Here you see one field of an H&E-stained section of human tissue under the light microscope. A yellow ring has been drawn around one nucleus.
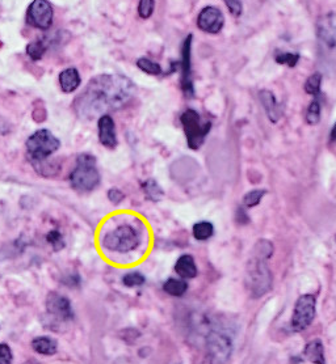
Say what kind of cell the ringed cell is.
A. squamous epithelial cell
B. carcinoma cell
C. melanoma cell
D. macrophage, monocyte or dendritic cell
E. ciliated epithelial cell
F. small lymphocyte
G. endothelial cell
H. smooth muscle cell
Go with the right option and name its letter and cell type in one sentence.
Option D stands as correct, with the ringed cell being a macrophage, monocyte or dendritic cell.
